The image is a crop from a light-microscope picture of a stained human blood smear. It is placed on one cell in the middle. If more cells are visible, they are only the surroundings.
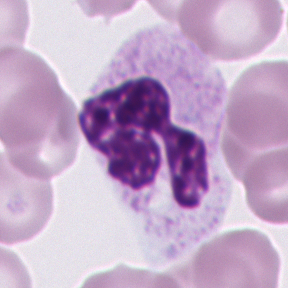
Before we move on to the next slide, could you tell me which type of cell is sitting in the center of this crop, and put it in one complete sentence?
In the middle of this smear crop, the cell is a segmented neutrophil.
